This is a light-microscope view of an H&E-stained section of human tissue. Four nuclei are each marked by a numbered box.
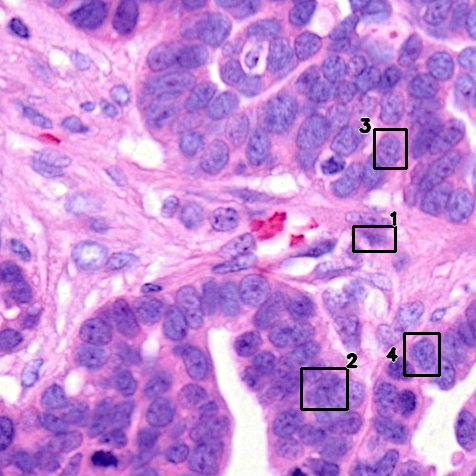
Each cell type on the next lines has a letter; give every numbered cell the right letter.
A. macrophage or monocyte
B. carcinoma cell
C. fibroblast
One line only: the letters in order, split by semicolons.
C; B; B; B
